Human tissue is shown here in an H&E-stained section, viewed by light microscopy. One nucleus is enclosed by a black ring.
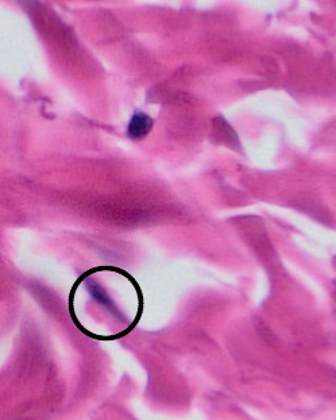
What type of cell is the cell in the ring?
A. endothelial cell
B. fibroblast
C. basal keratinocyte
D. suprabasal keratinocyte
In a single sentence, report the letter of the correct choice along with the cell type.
With the cell in the ring being a fibroblast, option B is correct.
